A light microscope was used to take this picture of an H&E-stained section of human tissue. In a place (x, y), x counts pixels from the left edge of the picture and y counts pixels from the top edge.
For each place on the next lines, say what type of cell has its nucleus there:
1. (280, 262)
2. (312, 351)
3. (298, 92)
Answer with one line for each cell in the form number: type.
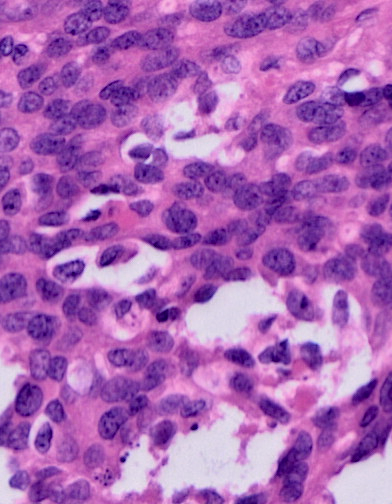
1: carcinoma cell
2: carcinoma cell
3: macrophage or monocyte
